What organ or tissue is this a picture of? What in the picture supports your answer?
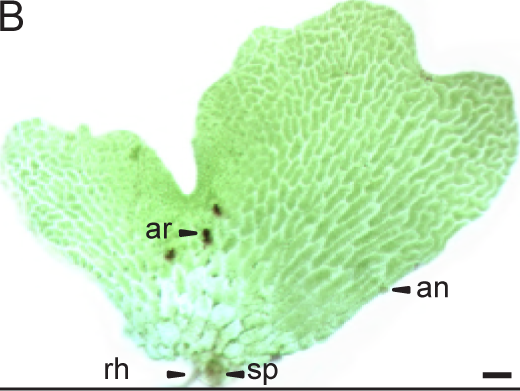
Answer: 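Photosynthetic thallus. A flat green sheet one cell layer thick with a network of cell outlines.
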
